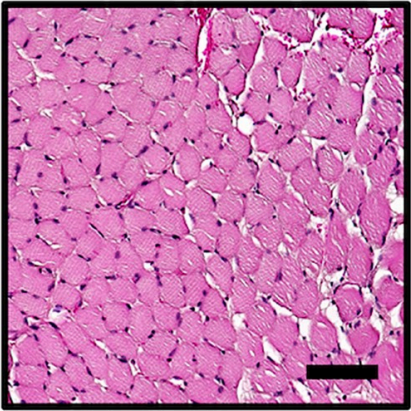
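Skeletal muscle in cross-section, with pink polygonal fibers packed closely together. Dark purple nuclei sit at the edges of the fibers. The fibers are fairly uniform in size, separated by thin pale septa, with a few wider clefts toward the right.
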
